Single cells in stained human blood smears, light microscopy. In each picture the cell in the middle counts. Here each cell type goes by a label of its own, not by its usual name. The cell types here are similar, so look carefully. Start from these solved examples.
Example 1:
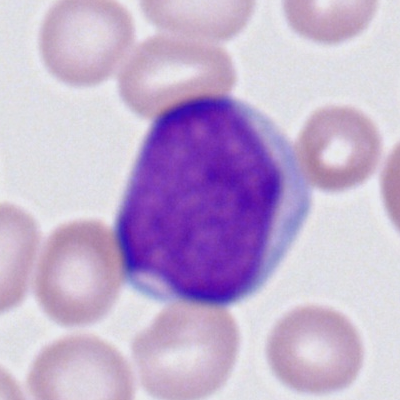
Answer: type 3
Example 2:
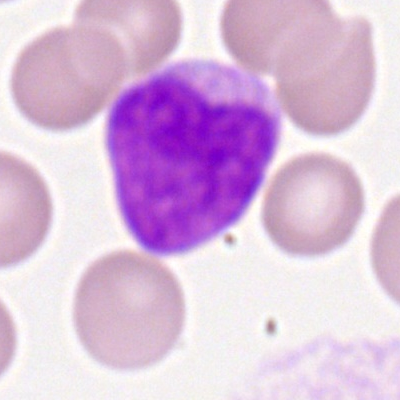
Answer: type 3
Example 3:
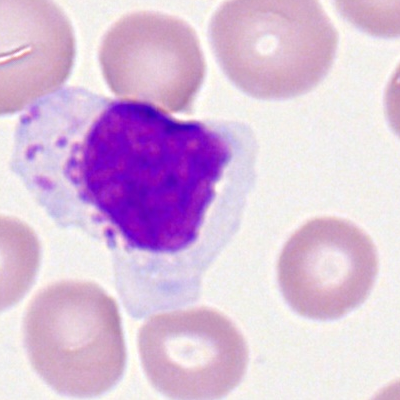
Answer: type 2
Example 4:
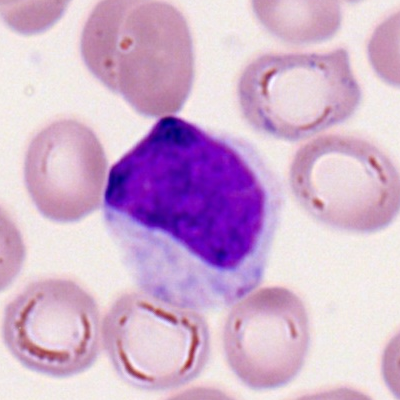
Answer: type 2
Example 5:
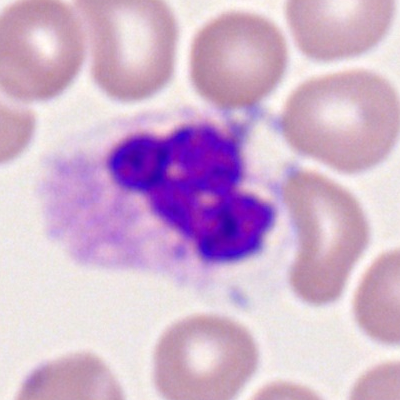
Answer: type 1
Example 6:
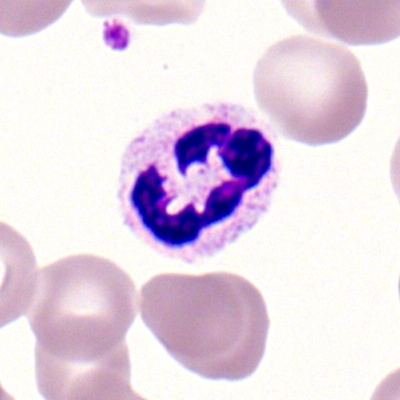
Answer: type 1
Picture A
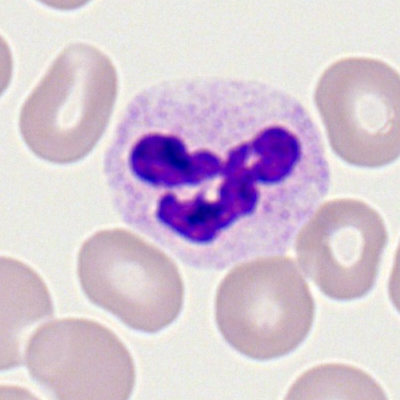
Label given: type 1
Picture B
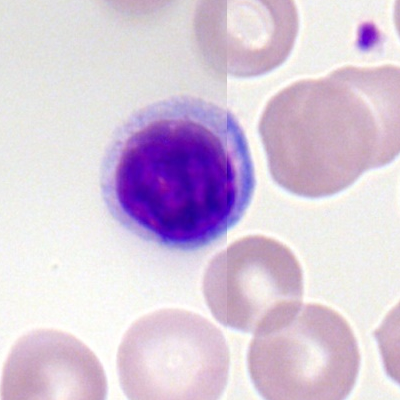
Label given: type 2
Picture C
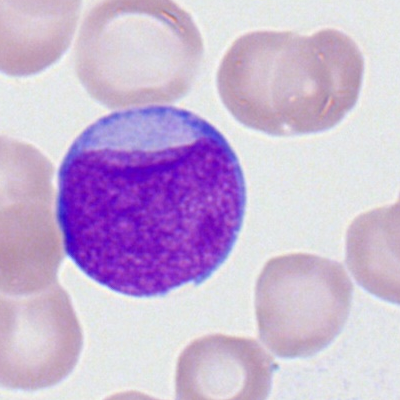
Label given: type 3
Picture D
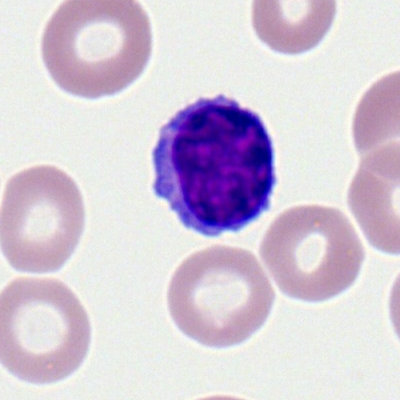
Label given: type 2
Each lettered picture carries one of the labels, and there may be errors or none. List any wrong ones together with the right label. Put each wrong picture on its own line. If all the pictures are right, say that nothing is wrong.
None of the labels needs changing.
